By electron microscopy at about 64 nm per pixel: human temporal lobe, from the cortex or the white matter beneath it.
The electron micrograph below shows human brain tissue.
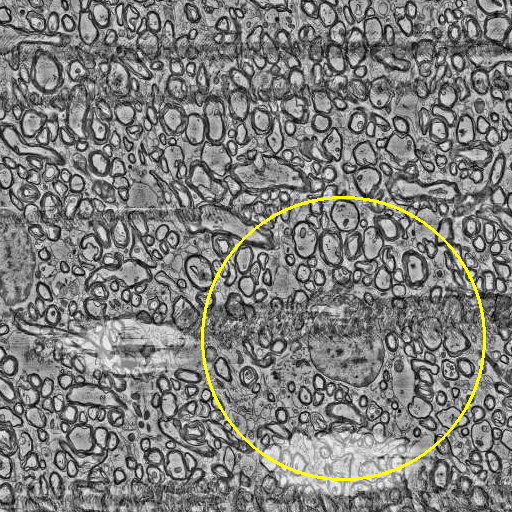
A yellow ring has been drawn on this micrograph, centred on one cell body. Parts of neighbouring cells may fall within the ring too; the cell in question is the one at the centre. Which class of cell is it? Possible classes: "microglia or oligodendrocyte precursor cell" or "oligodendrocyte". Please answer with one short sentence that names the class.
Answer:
In the centre of the ring sits a microglial cell or oligodendrocyte precursor cell.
